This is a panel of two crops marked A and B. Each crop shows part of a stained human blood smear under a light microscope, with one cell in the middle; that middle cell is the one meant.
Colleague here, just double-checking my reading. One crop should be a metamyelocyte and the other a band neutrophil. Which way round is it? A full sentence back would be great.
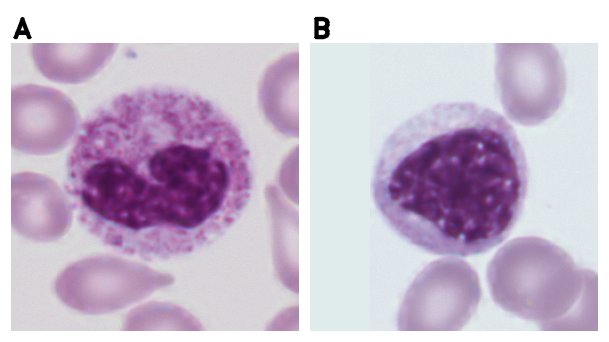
The cell centred in crop A is a band neutrophil, while the one centred in crop B is a metamyelocyte.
